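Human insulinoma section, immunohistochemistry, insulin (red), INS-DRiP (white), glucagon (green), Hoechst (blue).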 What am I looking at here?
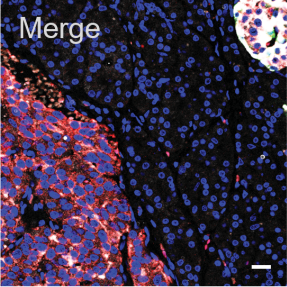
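At the lower left the tumour forms a crowded sheet of cells whose cytoplasm is stained red with white patches, around blue nuclei. In the top-right corner a small, compact, rounded cluster glows brightly white and red, and a few green cells lie at its edge. The boundary between the tumour and the unstained tissue runs diagonally across the field.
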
